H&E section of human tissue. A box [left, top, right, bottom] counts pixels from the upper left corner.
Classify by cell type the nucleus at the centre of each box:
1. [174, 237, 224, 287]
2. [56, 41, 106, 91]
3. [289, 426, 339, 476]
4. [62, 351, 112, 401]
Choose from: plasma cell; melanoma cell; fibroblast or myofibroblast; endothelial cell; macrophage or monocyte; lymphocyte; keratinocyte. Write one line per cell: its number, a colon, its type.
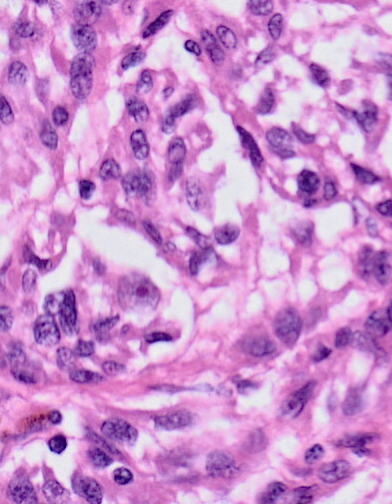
1: melanoma cell
2: melanoma cell
3: lymphocyte
4: melanoma cell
